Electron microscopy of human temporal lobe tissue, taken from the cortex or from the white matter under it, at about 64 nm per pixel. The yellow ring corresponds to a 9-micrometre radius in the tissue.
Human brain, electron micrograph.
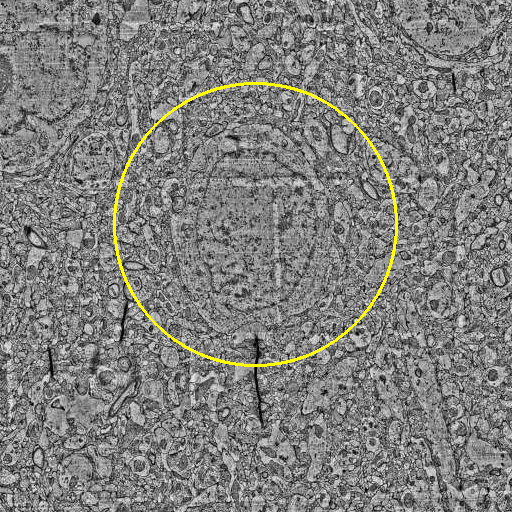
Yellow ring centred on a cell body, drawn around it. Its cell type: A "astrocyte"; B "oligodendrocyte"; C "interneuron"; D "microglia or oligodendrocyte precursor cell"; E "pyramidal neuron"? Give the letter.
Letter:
C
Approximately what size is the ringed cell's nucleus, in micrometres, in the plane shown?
Roughly 10 by 8 micrometres in this plane, for the nucleus of the ringed cell.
